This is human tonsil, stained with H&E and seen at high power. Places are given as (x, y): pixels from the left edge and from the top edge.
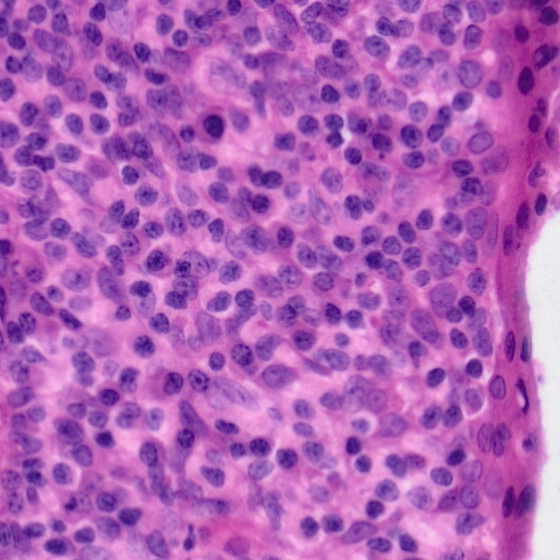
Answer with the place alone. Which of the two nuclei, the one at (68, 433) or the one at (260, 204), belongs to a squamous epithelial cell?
(68, 433)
